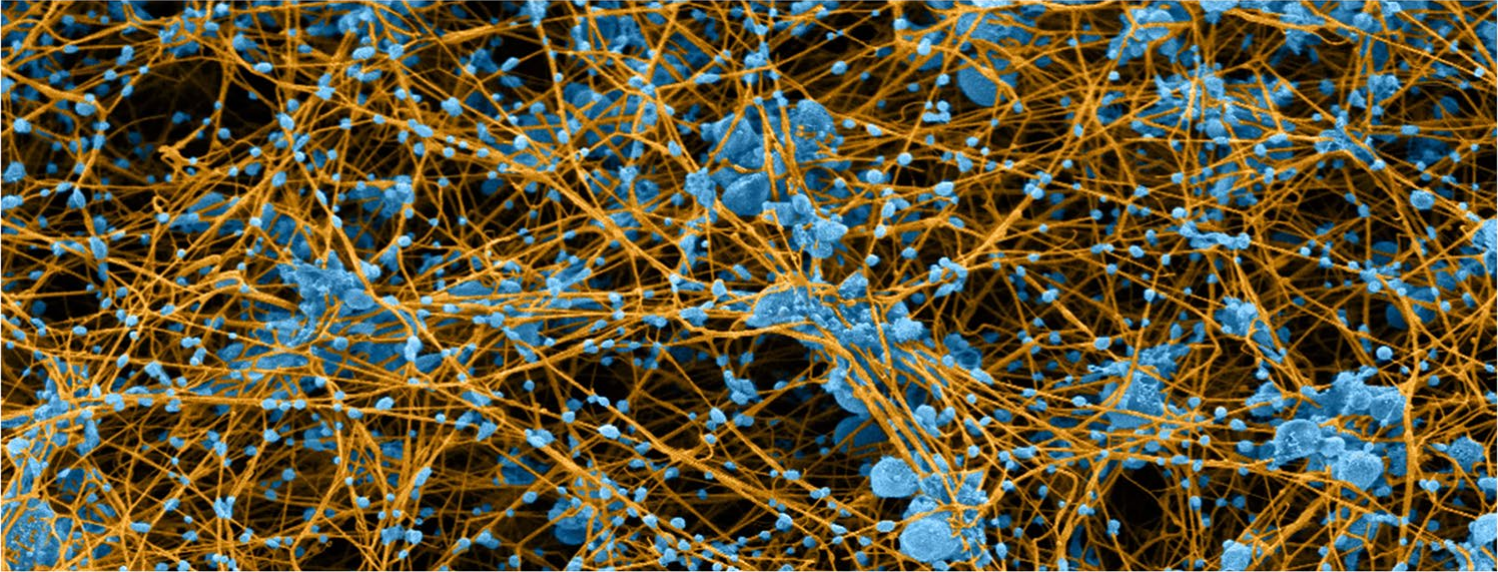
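This scanning electron micrograph shows a blood clot made of a dense meshwork of thin fibrin fibers, coloured tan, with platelets and small vesicles, coloured blue, enmeshed in it. The fibers are long, slender and branching, crossing each other in many directions and leaving dark open pores between them. Platelets gather into irregular blue aggregates of several rounded bodies pressed together, and many fibers converge on these aggregates and spread out from them. Numerous tiny round blue microvesicles are scattered along the fibers, studding them like beads on a string. The close contact between the blue platelet masses and the tan fibers gives the clot an interwoven, three-dimensional appearance.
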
